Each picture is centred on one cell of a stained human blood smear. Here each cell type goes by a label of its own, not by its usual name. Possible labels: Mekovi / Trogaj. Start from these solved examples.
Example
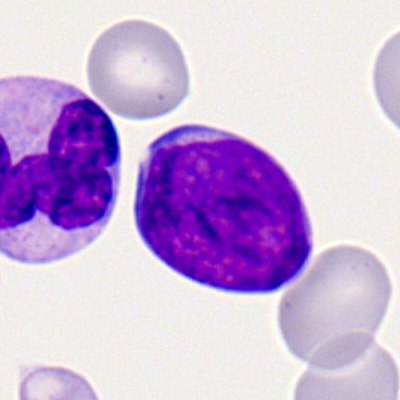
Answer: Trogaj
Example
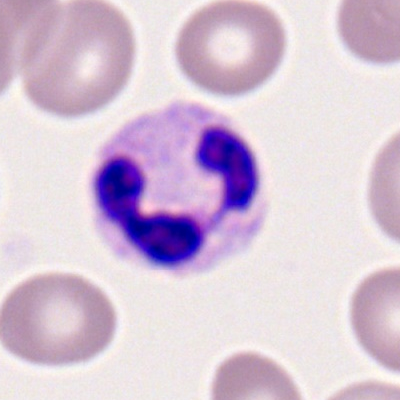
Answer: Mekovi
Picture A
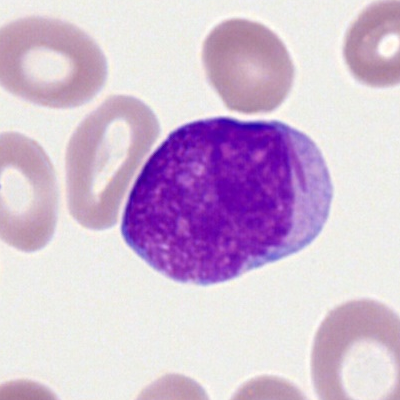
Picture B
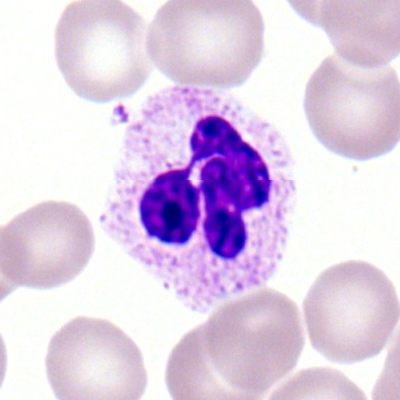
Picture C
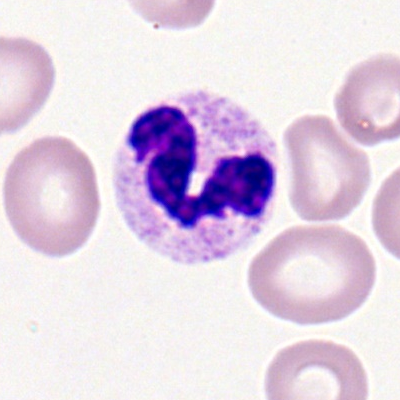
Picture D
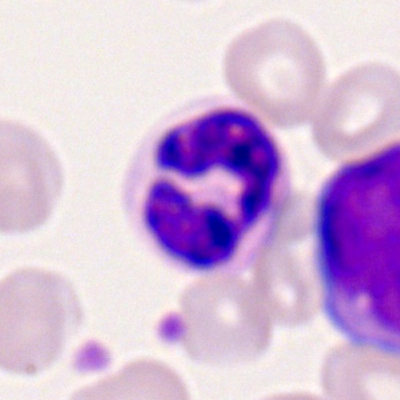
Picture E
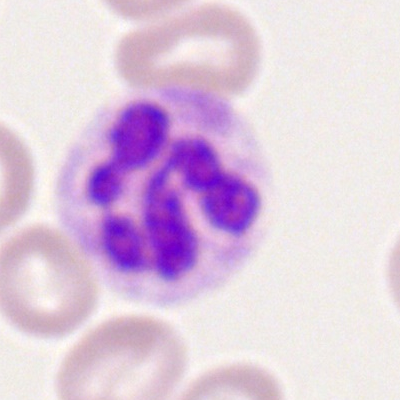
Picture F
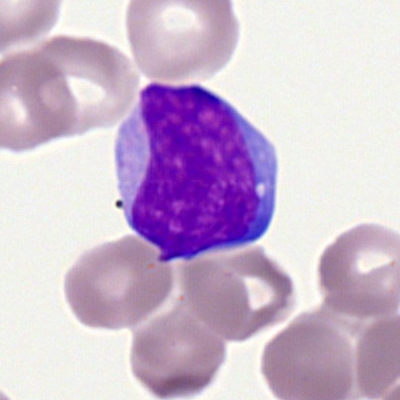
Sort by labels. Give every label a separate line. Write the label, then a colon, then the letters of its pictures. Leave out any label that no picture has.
Mekovi: B, C, D, E
Trogaj: A, F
